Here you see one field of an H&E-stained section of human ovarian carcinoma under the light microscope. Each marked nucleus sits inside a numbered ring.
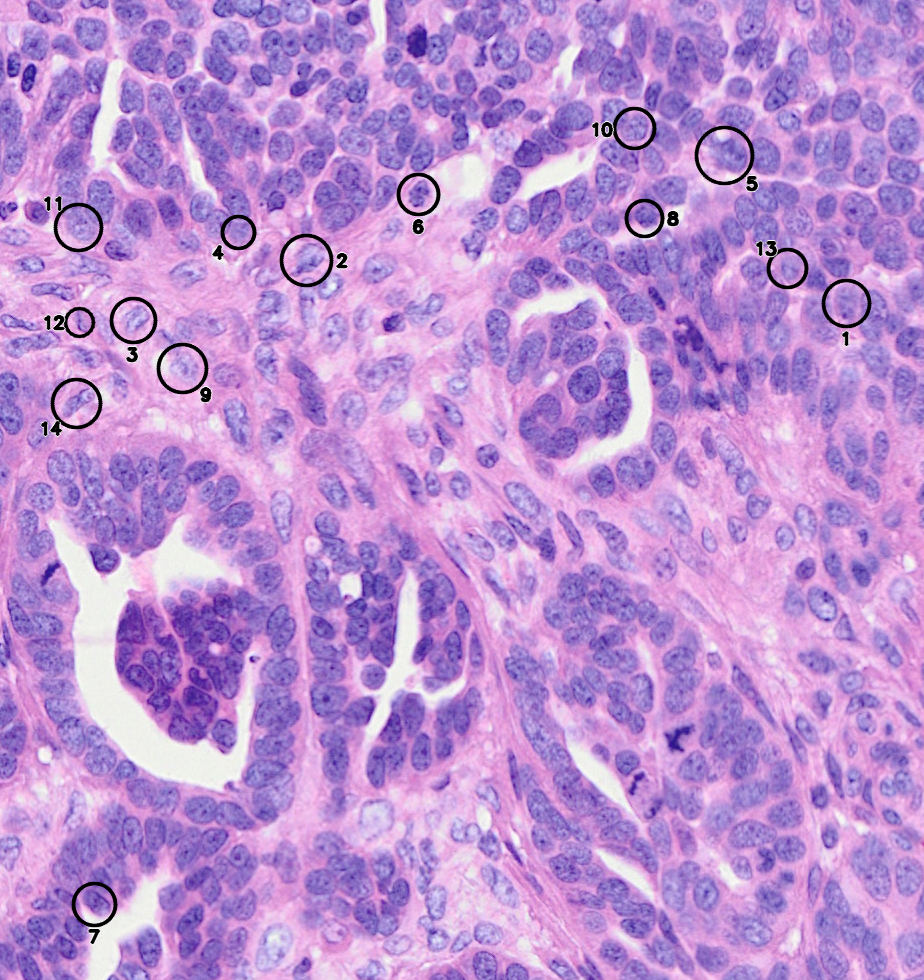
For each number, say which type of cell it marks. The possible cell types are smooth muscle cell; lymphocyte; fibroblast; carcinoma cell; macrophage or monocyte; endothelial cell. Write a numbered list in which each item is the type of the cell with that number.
1. carcinoma cell
2. fibroblast
3. fibroblast
4. carcinoma cell
5. carcinoma cell
6. macrophage or monocyte
7. carcinoma cell
8. carcinoma cell
9. fibroblast
10. carcinoma cell
11. carcinoma cell
12. fibroblast
13. carcinoma cell
14. fibroblast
